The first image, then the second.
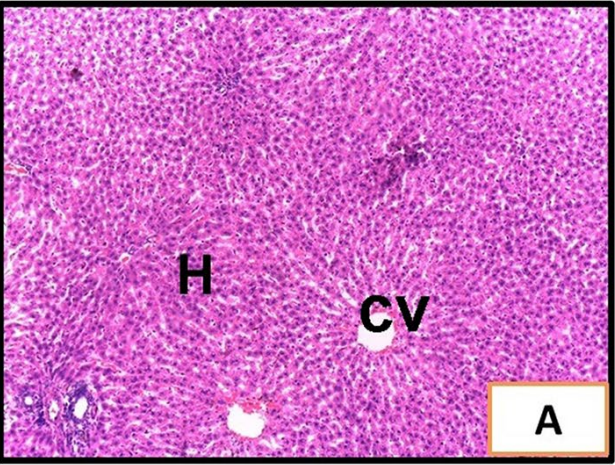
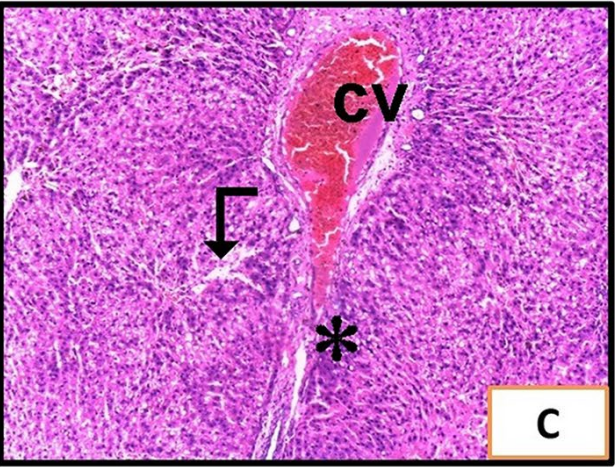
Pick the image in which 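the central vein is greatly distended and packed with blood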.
The second image.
